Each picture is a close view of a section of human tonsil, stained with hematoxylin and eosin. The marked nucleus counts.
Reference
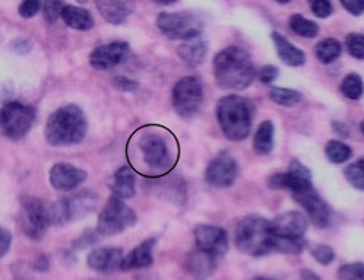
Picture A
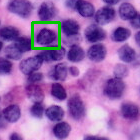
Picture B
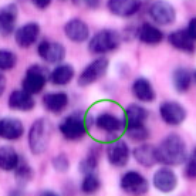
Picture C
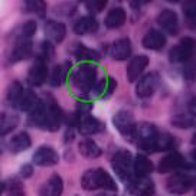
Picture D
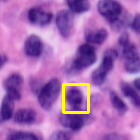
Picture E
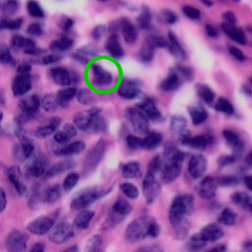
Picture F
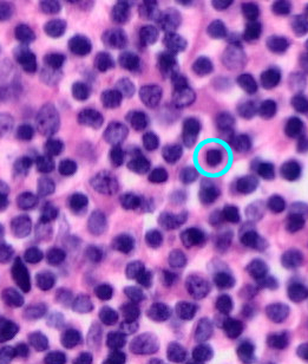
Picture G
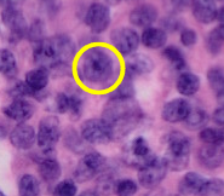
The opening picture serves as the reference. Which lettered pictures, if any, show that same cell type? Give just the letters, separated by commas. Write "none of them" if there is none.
D, E, G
